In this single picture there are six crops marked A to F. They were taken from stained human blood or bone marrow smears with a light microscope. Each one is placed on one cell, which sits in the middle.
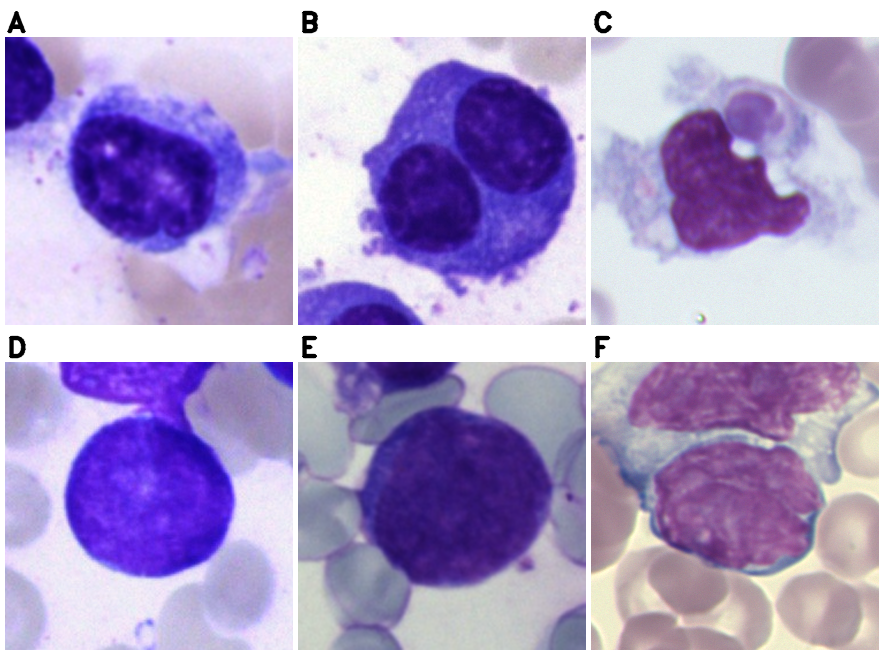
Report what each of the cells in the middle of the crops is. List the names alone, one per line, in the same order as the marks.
monocyte
plasma cell
monocyte
blast
blast
blast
